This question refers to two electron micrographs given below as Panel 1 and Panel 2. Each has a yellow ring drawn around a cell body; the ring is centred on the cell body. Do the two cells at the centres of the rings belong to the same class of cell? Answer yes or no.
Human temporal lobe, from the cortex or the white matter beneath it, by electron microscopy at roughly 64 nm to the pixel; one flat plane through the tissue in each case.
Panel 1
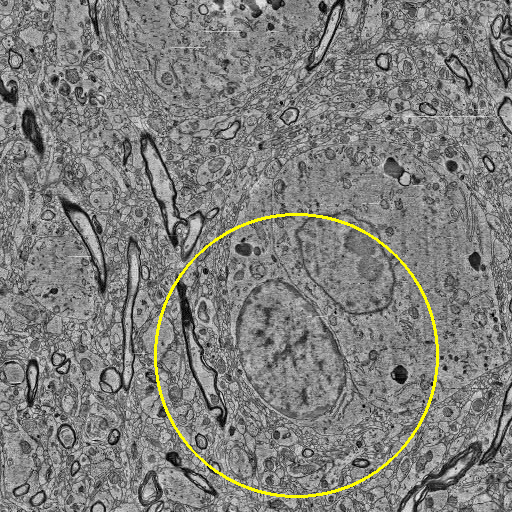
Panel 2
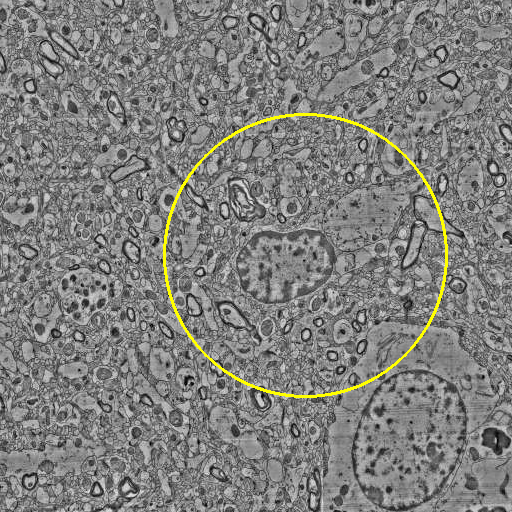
yes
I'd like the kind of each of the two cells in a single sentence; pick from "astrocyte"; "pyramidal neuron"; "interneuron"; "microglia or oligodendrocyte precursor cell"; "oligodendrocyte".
Both rings mark a microglial cell or oligodendrocyte precursor cell, one in each picture.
